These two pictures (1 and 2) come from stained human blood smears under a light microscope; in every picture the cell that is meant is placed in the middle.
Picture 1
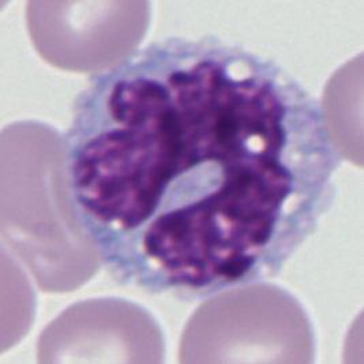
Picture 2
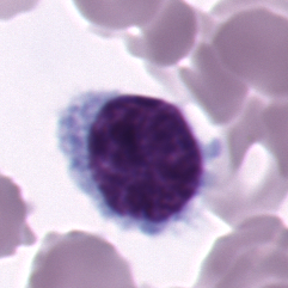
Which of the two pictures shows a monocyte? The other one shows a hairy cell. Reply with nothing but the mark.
1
